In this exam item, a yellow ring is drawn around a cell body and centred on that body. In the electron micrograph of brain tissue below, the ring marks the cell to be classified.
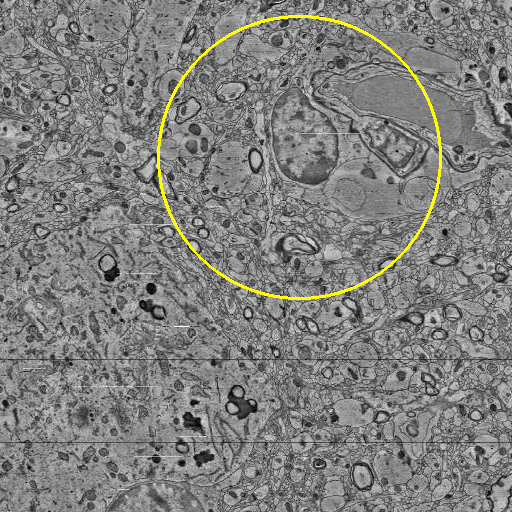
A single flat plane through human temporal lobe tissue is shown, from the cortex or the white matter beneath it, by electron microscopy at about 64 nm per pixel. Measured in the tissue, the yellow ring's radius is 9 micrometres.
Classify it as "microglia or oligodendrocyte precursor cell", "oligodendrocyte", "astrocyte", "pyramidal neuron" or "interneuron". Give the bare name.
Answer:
microglia or oligodendrocyte precursor cell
